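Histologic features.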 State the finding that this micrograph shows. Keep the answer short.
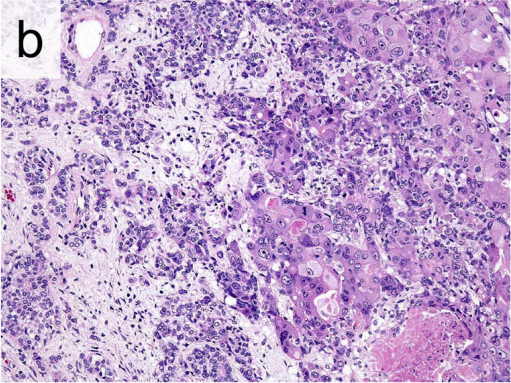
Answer: large pleomorphic nuclei and abundant eosinophilic cytoplasm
